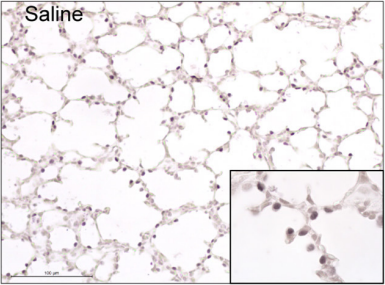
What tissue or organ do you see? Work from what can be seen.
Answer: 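A meshwork of thin septa encloses many empty air spaces. Scattered nuclei sit in the septa, some at their junctions.
Answer: alveoli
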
